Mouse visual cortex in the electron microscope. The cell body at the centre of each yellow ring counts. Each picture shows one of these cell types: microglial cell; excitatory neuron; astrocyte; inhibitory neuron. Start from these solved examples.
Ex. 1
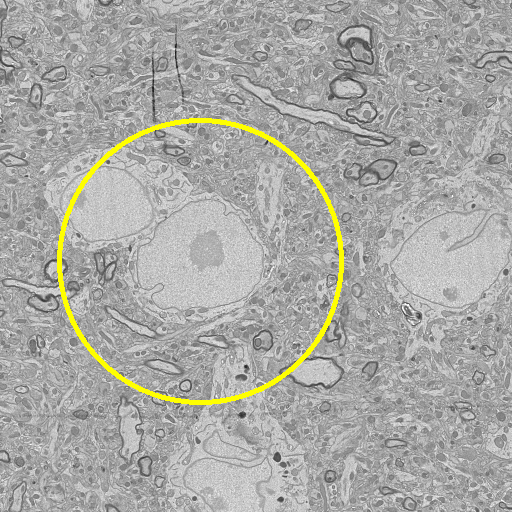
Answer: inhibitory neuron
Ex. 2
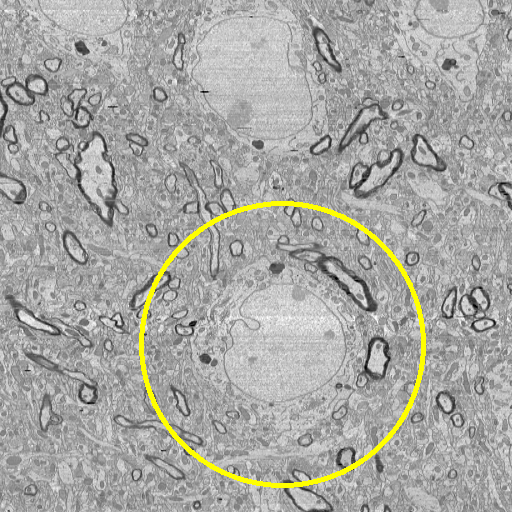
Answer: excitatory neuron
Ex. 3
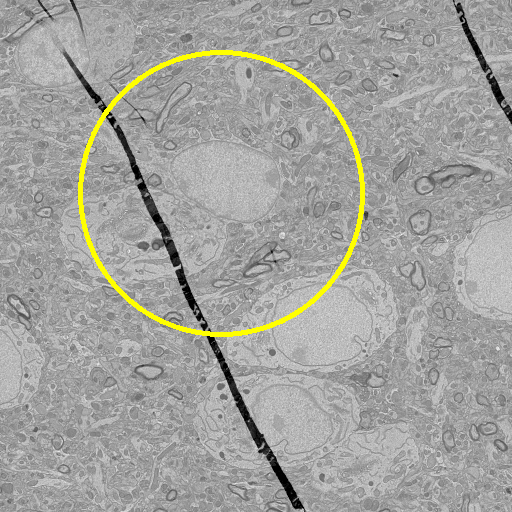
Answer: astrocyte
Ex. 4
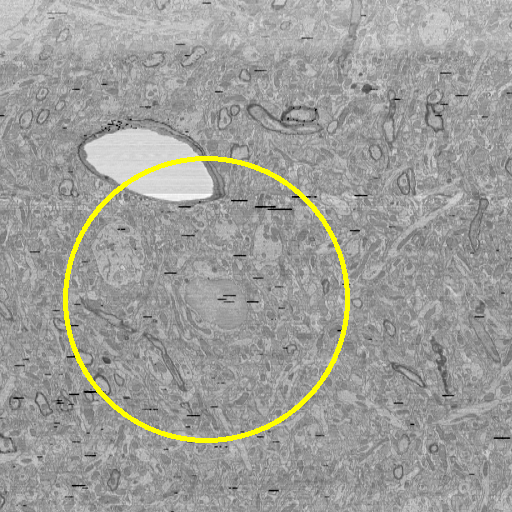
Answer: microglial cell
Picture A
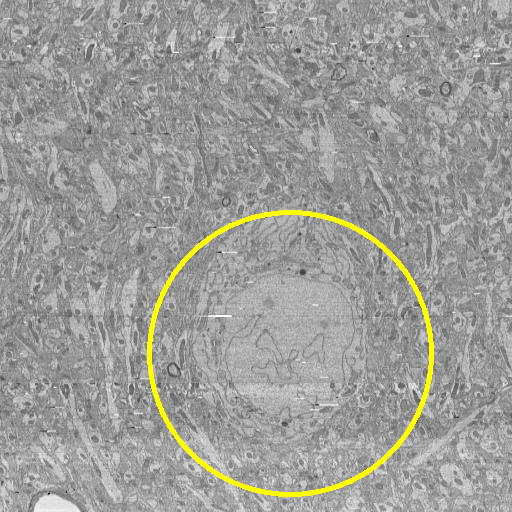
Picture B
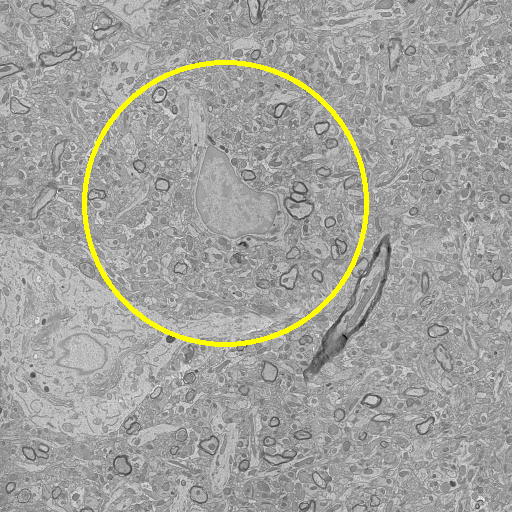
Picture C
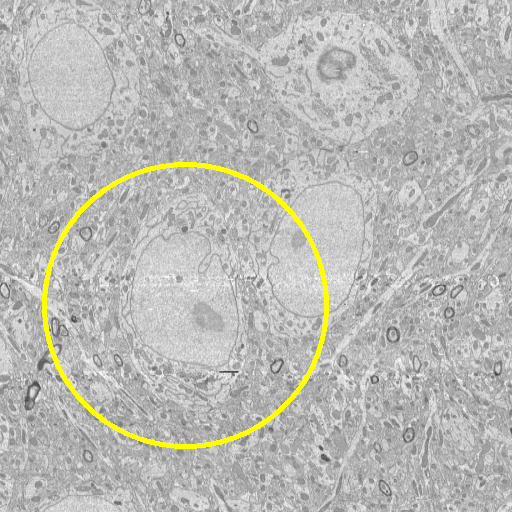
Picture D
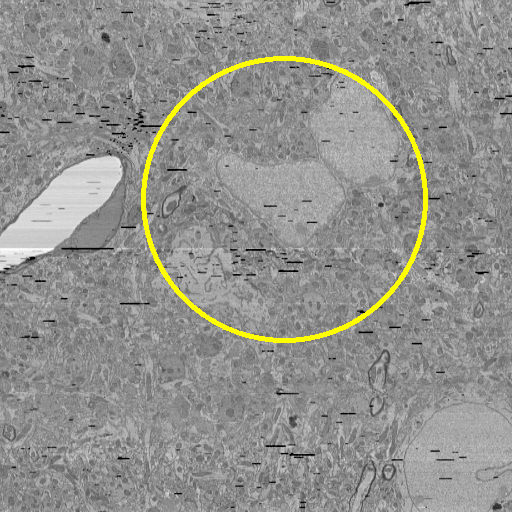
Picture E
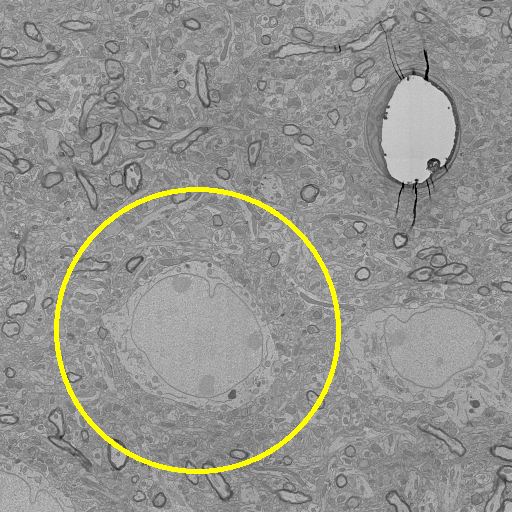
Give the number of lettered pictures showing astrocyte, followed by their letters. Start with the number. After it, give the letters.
Count: 1 (D)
